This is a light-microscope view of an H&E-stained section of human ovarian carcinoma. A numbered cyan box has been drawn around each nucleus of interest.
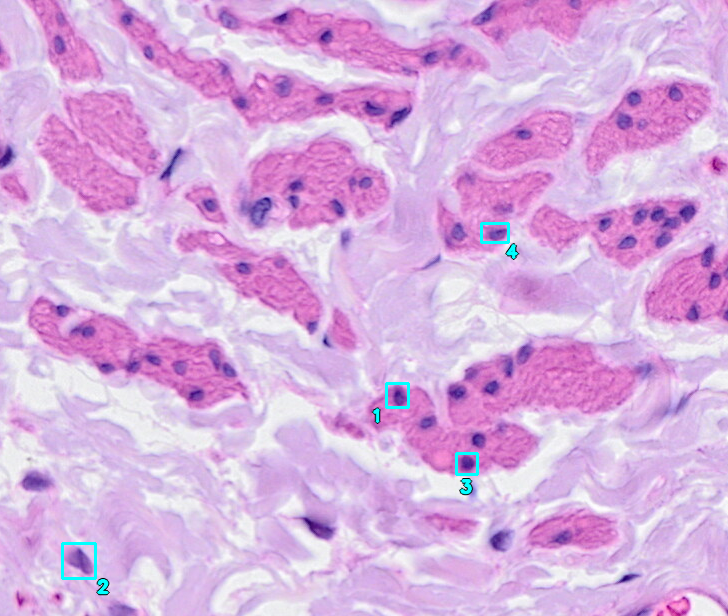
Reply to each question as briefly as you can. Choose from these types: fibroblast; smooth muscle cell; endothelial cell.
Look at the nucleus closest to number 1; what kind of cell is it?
smooth muscle cell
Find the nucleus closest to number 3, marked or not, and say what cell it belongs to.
smooth muscle cell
